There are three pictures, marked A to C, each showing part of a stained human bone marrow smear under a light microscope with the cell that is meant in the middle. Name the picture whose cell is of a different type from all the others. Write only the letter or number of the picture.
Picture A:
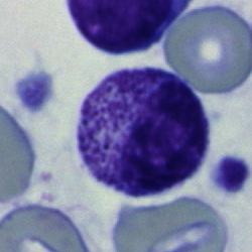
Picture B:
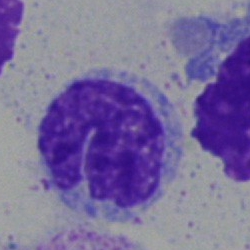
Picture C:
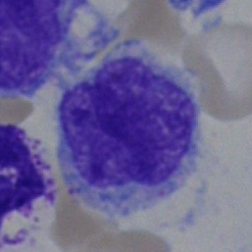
A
